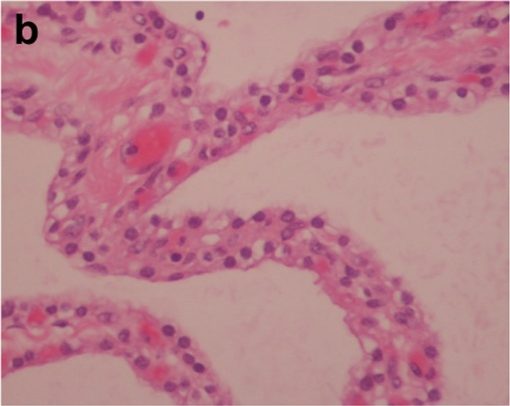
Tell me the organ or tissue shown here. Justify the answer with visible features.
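Cuboidal epithelium. Thin walls border empty spaces. A single layer of cells lines the wall surfaces. The lining cells are about as tall as they are wide, with round nuclei.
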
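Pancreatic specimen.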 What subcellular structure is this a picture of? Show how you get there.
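The lining cells have pale, almost unstained cytoplasm around dark round nuclei. On this evidence: optically clear cytoplasm.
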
